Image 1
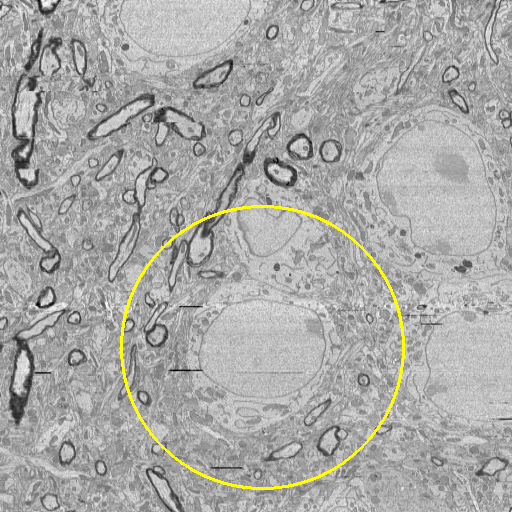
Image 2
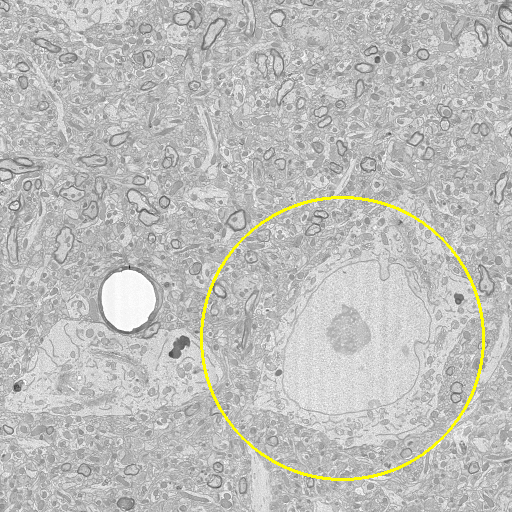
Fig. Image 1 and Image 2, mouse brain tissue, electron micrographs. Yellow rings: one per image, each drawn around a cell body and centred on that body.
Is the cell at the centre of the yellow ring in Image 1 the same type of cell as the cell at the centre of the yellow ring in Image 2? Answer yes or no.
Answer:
yes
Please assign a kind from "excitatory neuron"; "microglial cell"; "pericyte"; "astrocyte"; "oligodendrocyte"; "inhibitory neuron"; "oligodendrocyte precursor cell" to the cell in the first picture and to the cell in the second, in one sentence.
The ring centre holds an excitatory neuron in each of the two pictures.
